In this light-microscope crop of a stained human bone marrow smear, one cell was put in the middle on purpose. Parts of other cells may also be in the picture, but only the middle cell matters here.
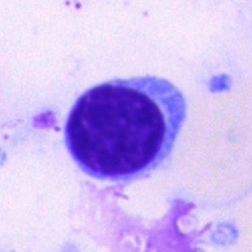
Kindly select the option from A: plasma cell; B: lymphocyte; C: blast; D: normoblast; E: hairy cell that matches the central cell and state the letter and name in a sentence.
The cell in the centre of the crop is a lymphocyte, so option B is the correct one.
